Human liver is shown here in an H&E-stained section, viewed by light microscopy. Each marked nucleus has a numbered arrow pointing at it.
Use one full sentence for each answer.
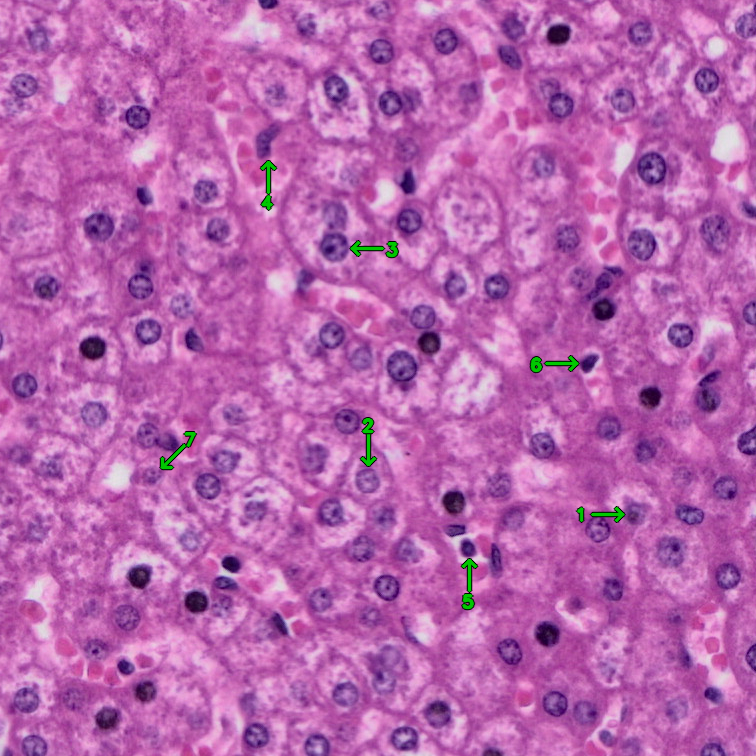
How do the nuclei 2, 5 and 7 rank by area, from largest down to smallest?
Largest first, the order by area is 2, 7, 5.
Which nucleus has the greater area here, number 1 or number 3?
At about 2 times the area of nucleus 1, nucleus 3 is the larger of the two.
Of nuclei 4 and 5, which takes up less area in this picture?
Number 5 is smaller, since number 4 takes up about 2 times as much area.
